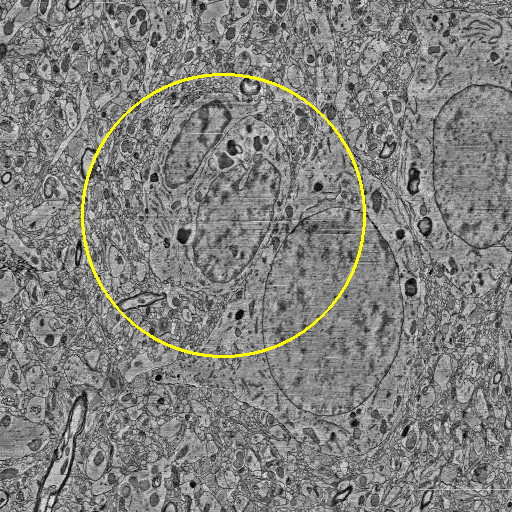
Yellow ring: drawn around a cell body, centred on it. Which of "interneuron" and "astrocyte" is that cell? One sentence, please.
That cell body is from an interneuron.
